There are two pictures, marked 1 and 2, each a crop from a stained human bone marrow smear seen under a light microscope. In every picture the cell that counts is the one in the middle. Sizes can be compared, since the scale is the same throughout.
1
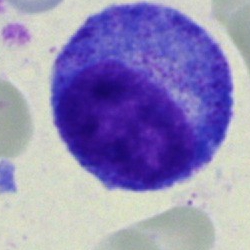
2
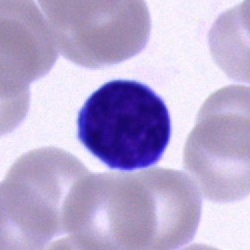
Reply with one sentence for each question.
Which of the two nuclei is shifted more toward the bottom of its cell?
Seen within its cell, the nucleus in crop 1 lies further toward the bottom.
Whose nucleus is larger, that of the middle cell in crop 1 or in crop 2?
Larger is the nucleus in crop 1, at roughly 2 times the area of the other.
